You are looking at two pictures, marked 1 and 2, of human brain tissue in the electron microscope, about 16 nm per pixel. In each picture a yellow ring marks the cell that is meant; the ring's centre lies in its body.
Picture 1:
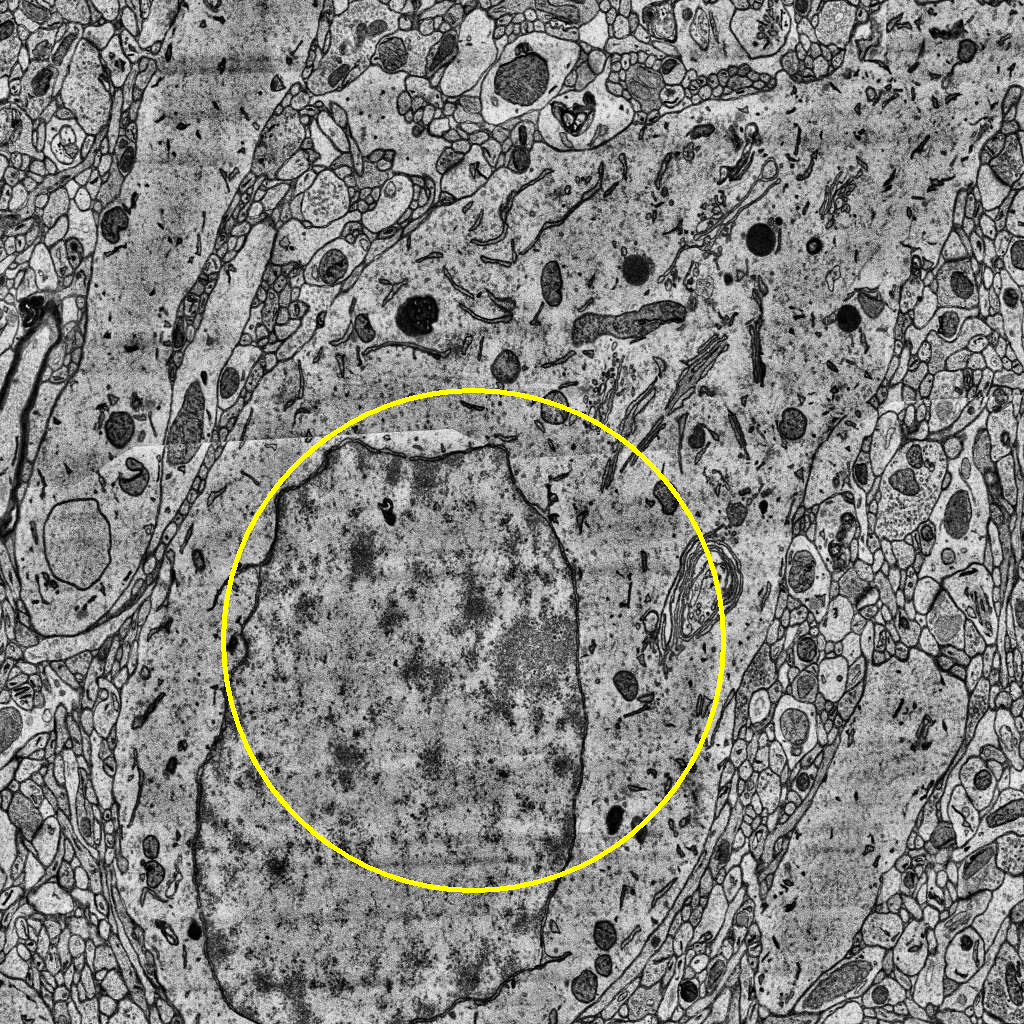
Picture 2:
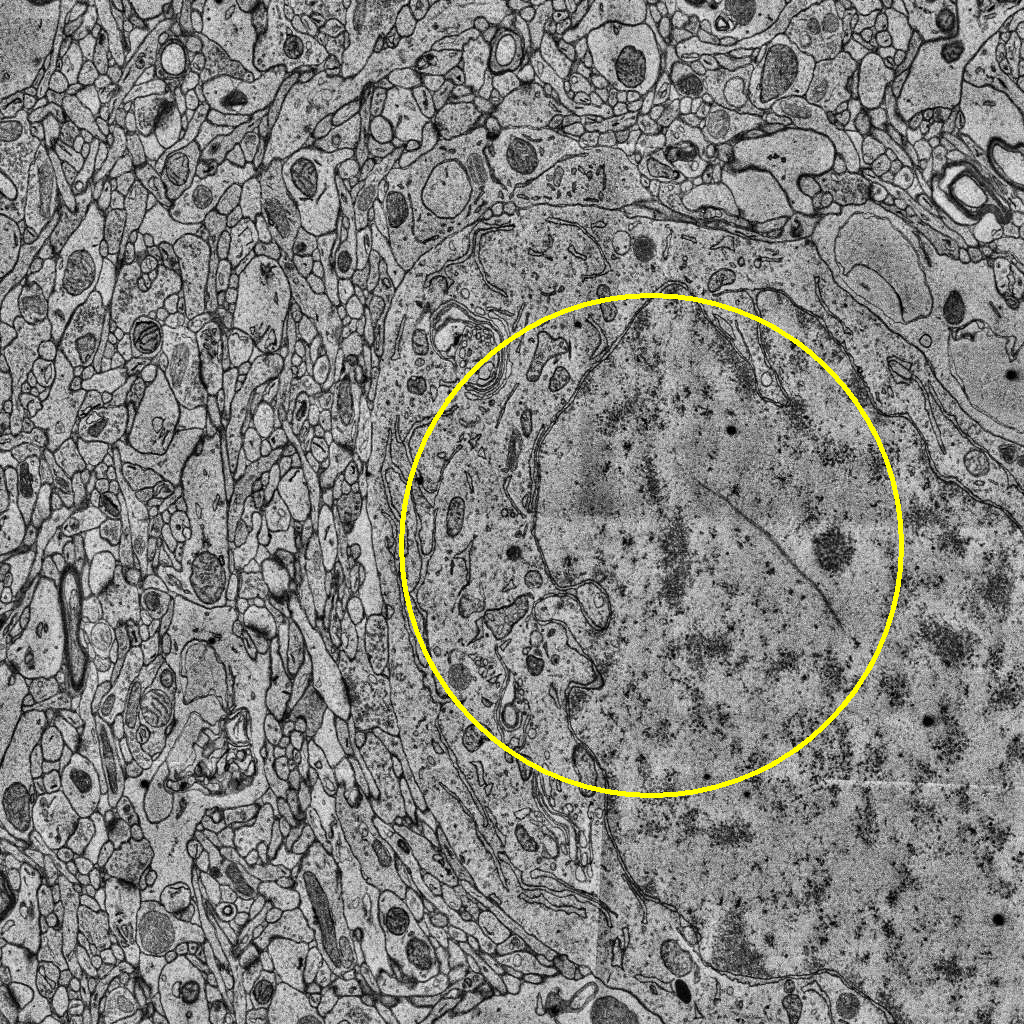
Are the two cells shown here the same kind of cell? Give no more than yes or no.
no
